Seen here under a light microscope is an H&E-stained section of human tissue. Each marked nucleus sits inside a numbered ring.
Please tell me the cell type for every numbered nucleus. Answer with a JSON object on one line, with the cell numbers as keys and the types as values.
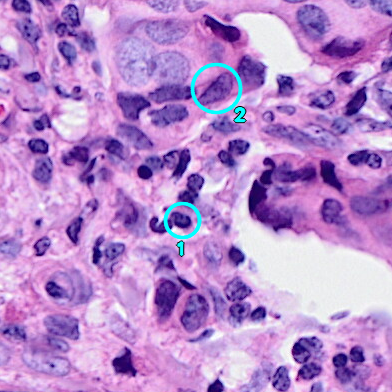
{"1": "lymphocyte", "2": "carcinoma cell"}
